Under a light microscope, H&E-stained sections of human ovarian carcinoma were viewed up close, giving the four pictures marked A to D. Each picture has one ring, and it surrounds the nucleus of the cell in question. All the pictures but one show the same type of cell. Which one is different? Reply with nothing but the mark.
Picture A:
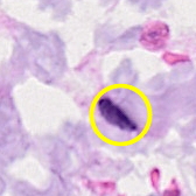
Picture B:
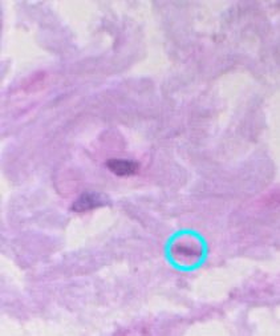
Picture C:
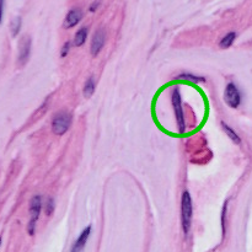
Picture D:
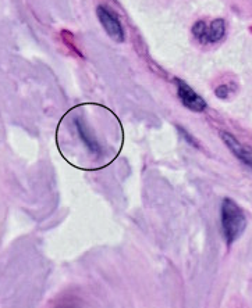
C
